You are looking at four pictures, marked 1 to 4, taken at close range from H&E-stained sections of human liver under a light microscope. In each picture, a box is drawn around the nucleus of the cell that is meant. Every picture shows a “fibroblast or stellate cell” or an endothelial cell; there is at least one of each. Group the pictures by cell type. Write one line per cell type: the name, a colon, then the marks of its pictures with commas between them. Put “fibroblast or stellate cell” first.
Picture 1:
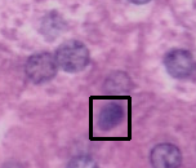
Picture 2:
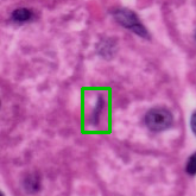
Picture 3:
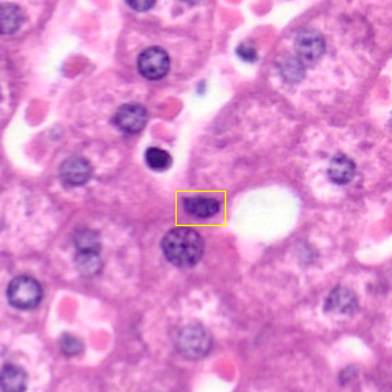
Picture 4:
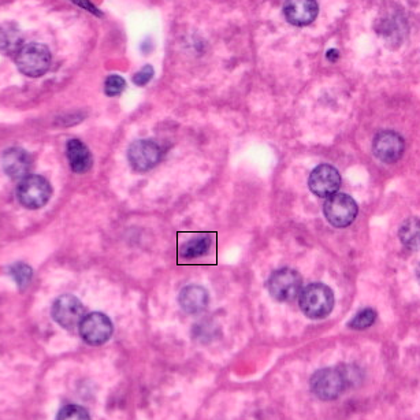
fibroblast or stellate cell: 1, 3, 4
endothelial cell: 2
